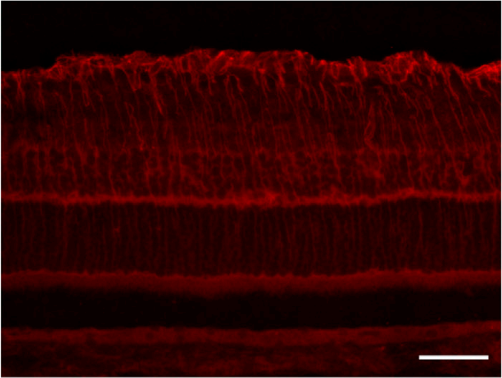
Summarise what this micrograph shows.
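A cross-section of retina shows its layers stacked horizontally, with red fluorescence strongest along the inner surface and in fine radial fibres that run from that surface down through the inner layers. A thin bright red line marks the outer plexiform layer, below which a broad darker band of the outer nuclear layer shows faint vertical striations, followed by a brighter band at the photoreceptor inner segments.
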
